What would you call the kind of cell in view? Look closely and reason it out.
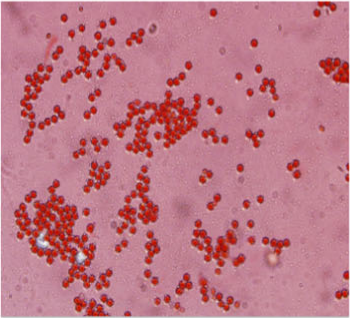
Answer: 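Many small round grains of similar size. Grains are stained red. Grains form scattered clusters on a pale background. On this evidence: Pollen.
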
